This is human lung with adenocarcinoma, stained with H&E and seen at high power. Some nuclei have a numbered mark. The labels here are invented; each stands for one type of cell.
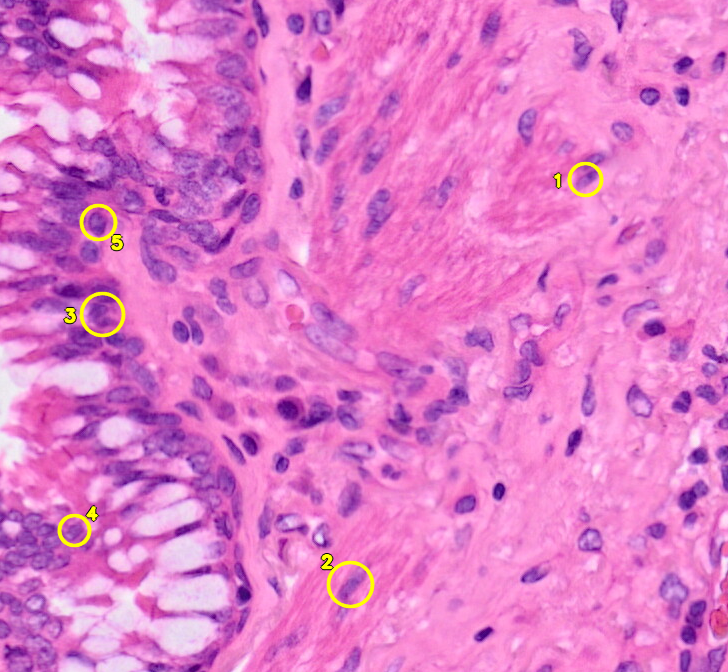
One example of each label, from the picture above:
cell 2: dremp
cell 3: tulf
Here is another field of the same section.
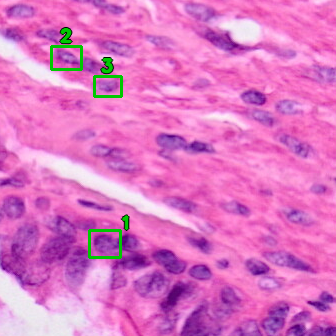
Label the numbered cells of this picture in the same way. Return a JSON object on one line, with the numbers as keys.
{"1": "tulf", "2": "dremp", "3": "dremp"}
